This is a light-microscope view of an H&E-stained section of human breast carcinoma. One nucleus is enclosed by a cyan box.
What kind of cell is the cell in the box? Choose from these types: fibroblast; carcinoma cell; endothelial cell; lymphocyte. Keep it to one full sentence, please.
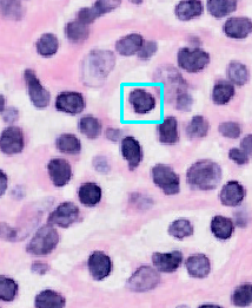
Typologically, the cell in the box is a lymphocyte in this section.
